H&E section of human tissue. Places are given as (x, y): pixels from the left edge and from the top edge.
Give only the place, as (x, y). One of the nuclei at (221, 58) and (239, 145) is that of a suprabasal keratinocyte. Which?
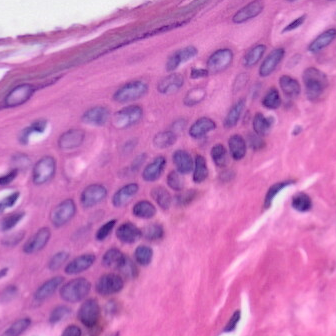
(221, 58)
